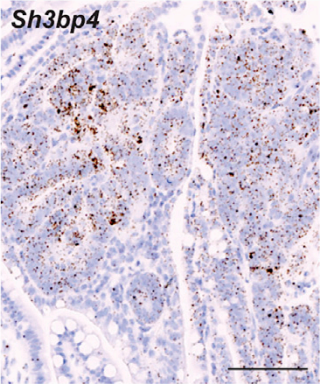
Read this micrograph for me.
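Intestinal adenoma made of crowded, irregular glands in which the epithelial cells are tightly packed, with elongated, dark blue nuclei stacked on one another and little cytoplasm. The ordered crypt and villus pattern is lost, and glands branch and press against each other with little stroma between them. At the lower left a few more normal glands with pale goblet cells remain, carrying fewer brown dots.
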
